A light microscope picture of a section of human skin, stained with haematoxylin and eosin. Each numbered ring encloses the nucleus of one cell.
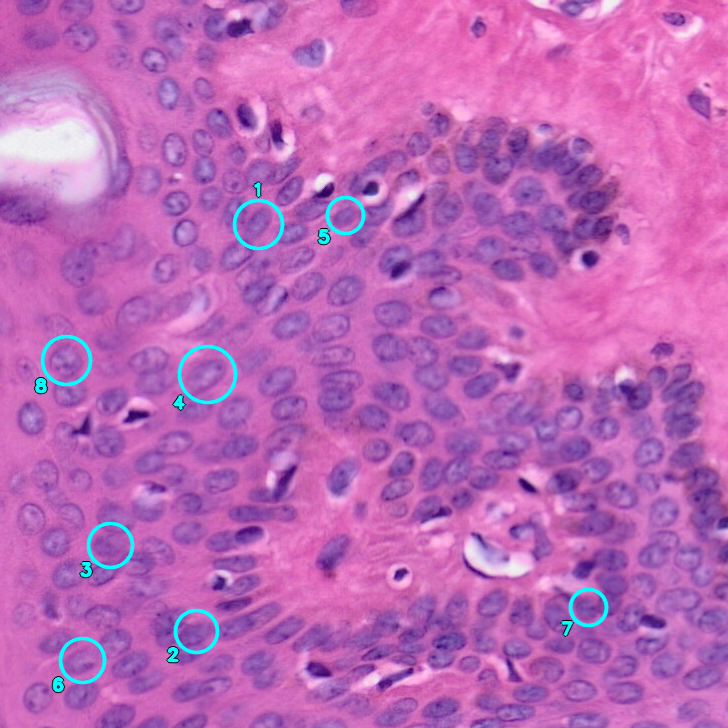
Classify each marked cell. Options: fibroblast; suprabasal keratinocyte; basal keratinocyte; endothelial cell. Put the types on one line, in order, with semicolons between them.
suprabasal keratinocyte; basal keratinocyte; suprabasal keratinocyte; suprabasal keratinocyte; basal keratinocyte; suprabasal keratinocyte; basal keratinocyte; suprabasal keratinocyte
